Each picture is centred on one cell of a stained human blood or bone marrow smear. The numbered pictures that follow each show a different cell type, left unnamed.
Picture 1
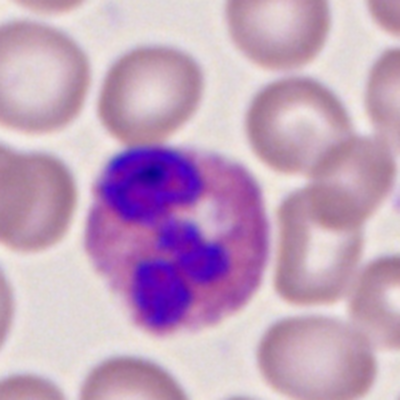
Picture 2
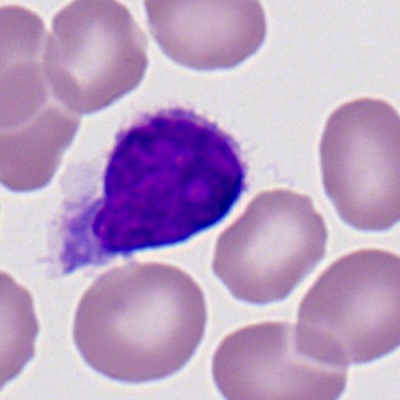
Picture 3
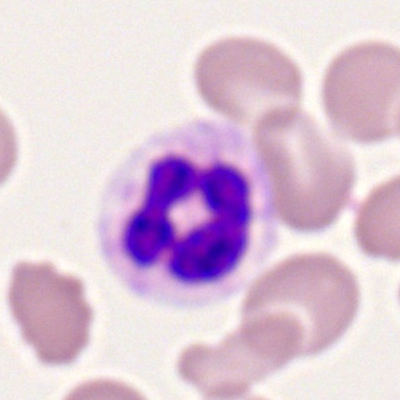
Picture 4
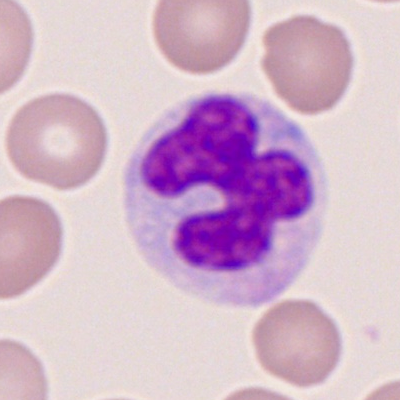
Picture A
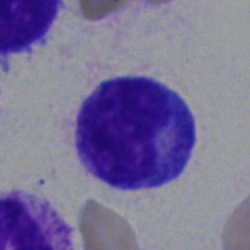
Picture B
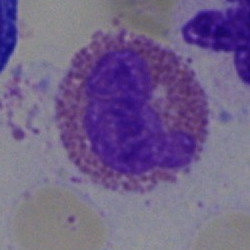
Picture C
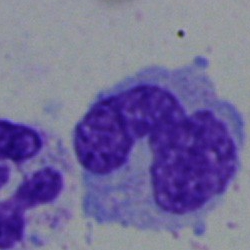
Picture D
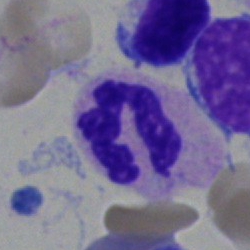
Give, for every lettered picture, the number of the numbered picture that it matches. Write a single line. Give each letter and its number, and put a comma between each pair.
A 2, B 1, C 4, D 3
